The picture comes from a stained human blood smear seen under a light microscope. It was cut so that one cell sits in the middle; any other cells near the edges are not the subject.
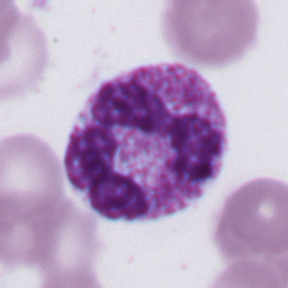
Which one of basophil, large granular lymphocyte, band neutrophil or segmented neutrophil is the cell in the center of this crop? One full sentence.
The centrally placed cell is classified as a segmented neutrophil.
